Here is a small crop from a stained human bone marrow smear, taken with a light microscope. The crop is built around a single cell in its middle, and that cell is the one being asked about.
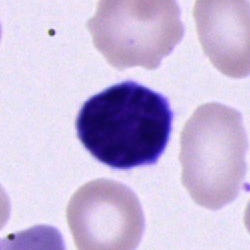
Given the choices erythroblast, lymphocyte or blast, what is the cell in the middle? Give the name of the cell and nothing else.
lymphocyte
